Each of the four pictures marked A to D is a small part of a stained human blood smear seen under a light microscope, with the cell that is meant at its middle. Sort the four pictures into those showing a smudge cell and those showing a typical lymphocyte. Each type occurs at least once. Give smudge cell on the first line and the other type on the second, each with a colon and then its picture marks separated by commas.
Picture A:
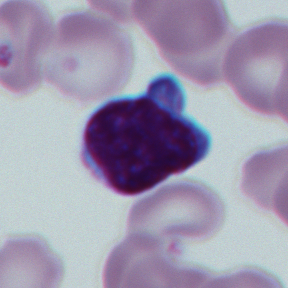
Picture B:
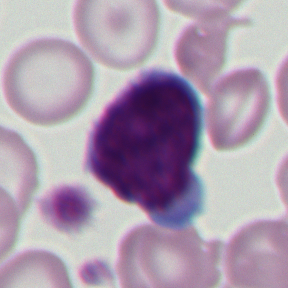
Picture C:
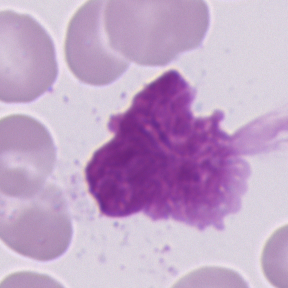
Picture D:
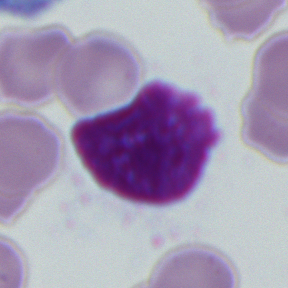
smudge cell: C, D
typical lymphocyte: A, B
